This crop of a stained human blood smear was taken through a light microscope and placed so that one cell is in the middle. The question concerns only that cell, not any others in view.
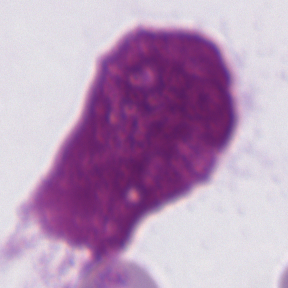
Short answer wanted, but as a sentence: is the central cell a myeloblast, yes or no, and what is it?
No, the central cell is classed as a smudge cell and not as a myeloblast.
